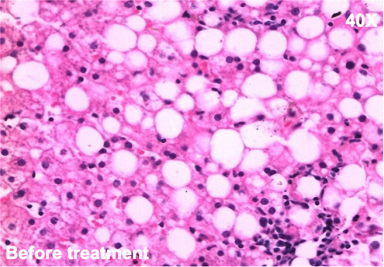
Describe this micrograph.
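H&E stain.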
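This section of liver shows hepatocytes loaded with fat, seen as round, clear, empty vacuoles within pink cytoplasm. The vacuoles vary widely in size, from large ones that fill much of a cell to small ones scattered among them. Many hepatocytes keep a dark round nucleus, sometimes pressed to the side by a large vacuole. In the lower right a cluster of small, dark, round nuclei marks a collection of inflammatory cells lying between the liver cells.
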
